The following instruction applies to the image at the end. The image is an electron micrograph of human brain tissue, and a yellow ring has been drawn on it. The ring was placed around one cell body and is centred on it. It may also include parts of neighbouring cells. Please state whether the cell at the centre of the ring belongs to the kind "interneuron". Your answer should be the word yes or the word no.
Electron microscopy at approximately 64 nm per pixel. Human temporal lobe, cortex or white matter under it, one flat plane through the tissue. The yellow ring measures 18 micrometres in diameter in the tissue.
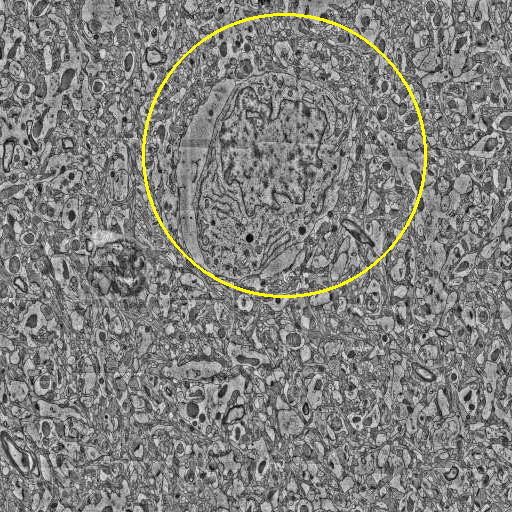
yes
